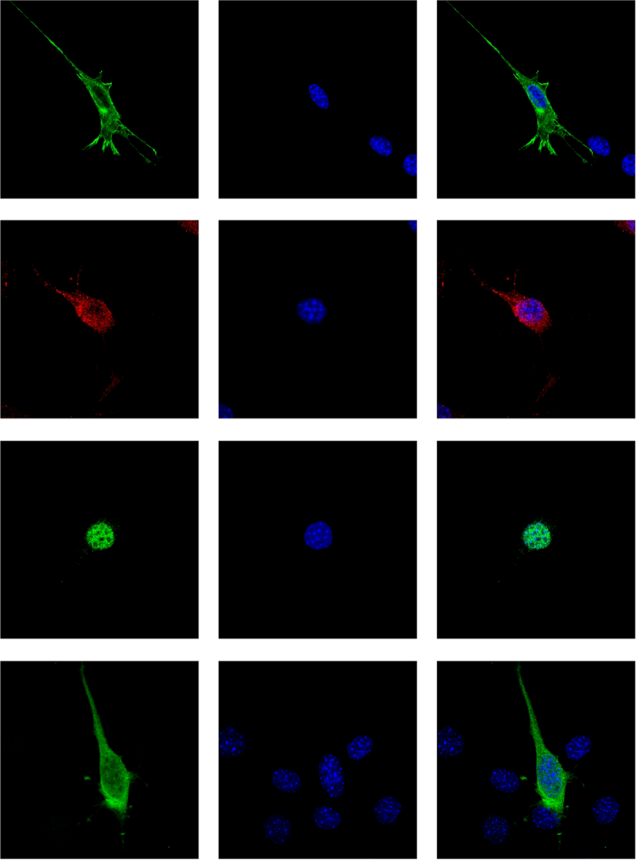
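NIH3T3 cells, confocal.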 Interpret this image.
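These are cultured cells, several of them spread and spindle-shaped with long thin processes, each with a single oval blue nucleus that has a finely speckled texture. In the top row the green stain outlines the whole cell body and runs out along long slender processes, leaving the nucleus largely free of green. In the second row the red stain fills the cytoplasm diffusely around the nucleus and extends into a tapering process. In the third row the green stain is confined to a round body that exactly overlaps the blue nucleus, while in the bottom row the green fills an elongated cell body and also covers the nucleus.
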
